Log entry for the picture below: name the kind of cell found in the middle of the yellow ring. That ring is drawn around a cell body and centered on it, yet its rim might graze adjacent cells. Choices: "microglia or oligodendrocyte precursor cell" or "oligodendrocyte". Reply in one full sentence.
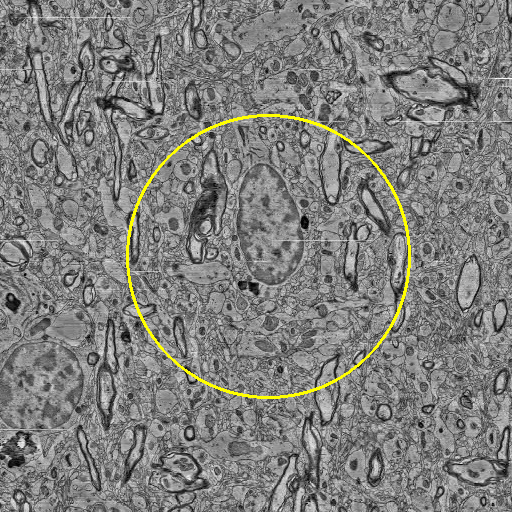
The cell in the middle of the yellow ring in this picture is a microglial cell or oligodendrocyte precursor cell.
